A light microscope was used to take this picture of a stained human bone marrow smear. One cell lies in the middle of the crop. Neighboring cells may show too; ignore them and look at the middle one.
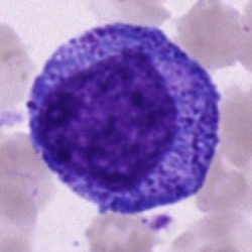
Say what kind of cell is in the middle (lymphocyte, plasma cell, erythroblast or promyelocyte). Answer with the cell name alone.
promyelocyte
